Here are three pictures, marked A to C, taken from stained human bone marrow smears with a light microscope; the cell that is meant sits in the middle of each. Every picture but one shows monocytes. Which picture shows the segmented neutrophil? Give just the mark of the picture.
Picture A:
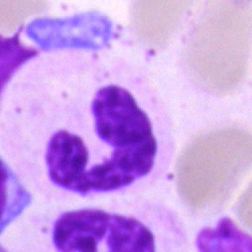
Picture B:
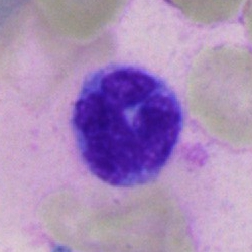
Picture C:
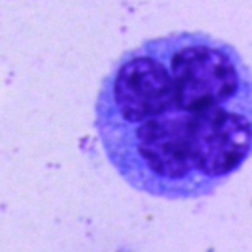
A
